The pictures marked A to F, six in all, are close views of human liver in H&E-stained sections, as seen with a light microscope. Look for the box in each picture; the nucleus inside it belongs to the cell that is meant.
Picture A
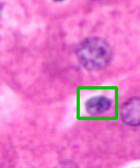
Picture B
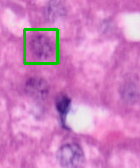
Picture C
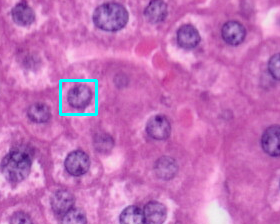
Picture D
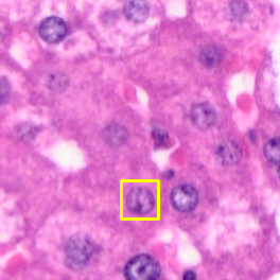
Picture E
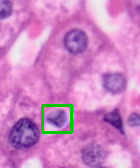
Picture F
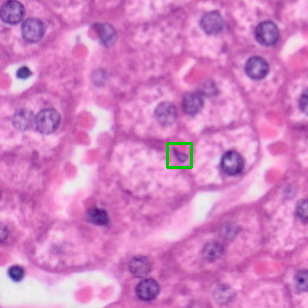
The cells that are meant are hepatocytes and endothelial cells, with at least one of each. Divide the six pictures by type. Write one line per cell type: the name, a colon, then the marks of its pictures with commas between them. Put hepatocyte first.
hepatocyte: B, C, D
endothelial cell: A, E, F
